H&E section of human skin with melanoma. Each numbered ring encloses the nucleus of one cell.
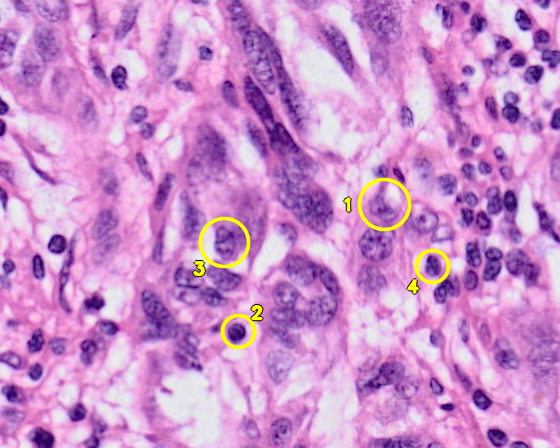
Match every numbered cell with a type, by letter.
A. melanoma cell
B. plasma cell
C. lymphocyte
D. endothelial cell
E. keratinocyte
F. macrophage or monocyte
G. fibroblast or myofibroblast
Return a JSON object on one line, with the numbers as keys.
{"1": "A", "2": "C", "3": "A", "4": "C"}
